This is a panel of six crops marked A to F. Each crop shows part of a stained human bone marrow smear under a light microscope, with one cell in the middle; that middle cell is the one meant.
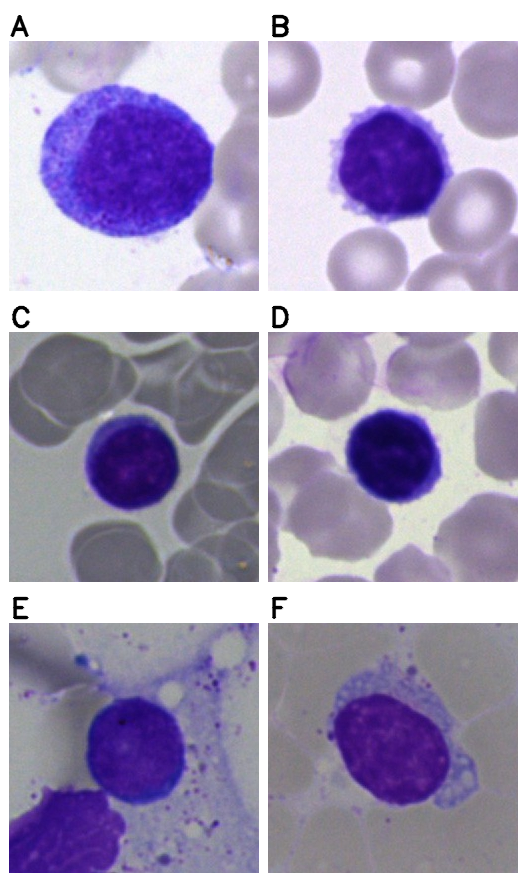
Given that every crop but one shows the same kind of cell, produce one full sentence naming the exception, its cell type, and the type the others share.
Whereas the other crops show lymphocytes, crop A is a blast.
